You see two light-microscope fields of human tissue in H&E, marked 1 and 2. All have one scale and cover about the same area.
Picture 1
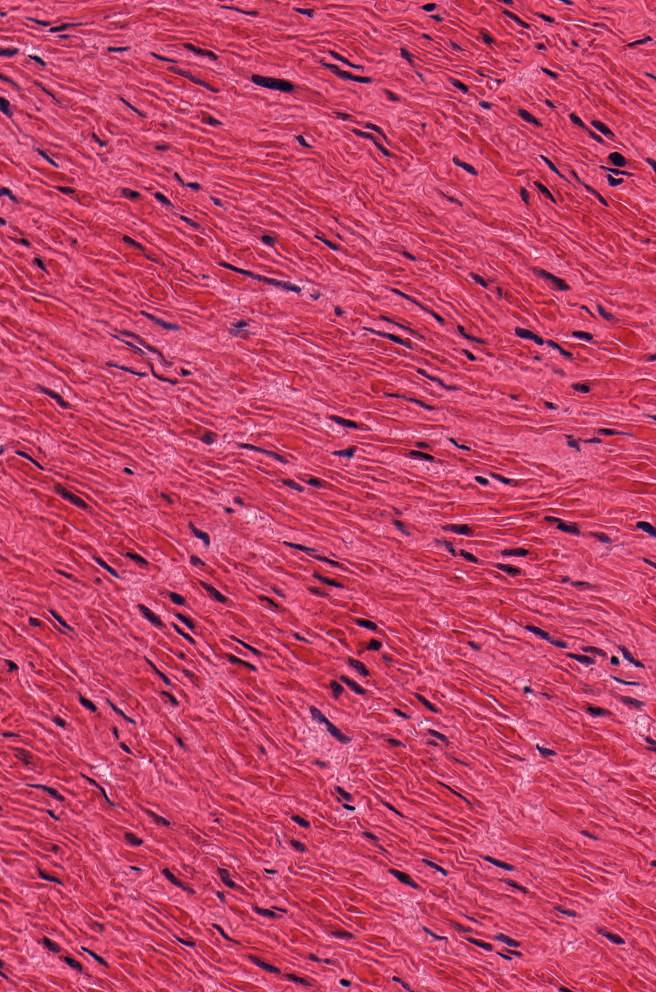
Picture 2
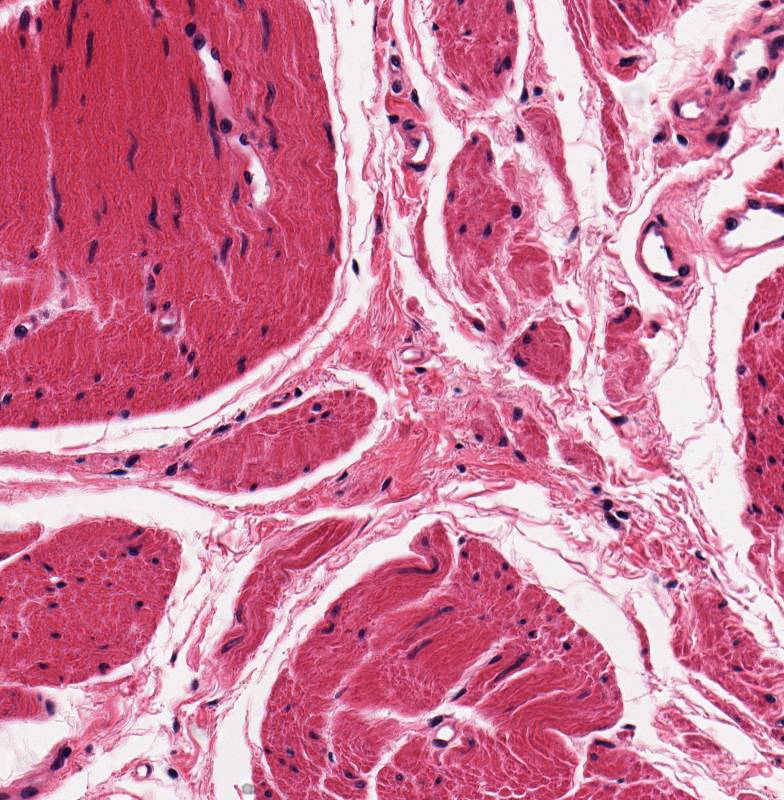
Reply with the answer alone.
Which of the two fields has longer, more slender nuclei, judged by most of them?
1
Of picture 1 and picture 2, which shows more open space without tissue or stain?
2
